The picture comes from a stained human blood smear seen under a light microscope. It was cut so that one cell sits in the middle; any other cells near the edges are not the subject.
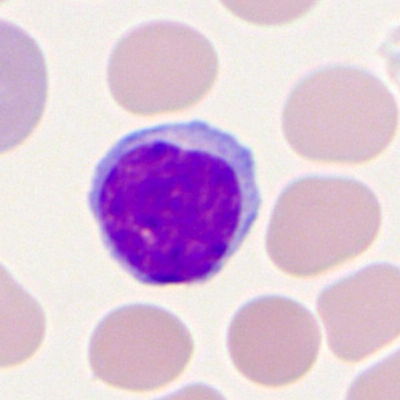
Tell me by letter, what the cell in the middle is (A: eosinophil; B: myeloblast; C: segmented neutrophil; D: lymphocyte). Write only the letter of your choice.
D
